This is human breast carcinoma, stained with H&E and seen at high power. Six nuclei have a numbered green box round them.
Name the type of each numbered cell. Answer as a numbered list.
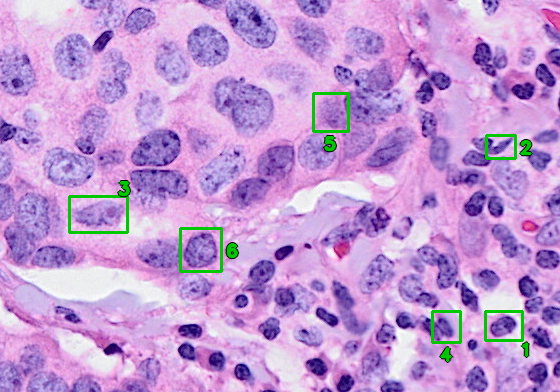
1. lymphocyte
2. lymphocyte
3. carcinoma cell
4. lymphocyte
5. carcinoma cell
6. carcinoma cell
